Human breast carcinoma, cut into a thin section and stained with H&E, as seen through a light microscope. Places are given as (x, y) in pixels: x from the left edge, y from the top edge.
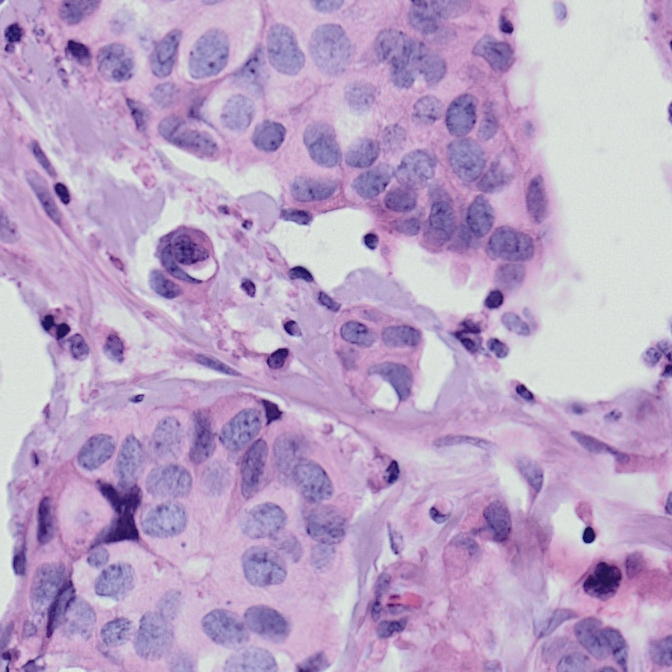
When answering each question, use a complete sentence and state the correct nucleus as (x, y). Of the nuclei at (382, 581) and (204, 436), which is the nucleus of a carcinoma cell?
Of these two nuclei, it is the one at (204, 436) that belongs to a carcinoma cell.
